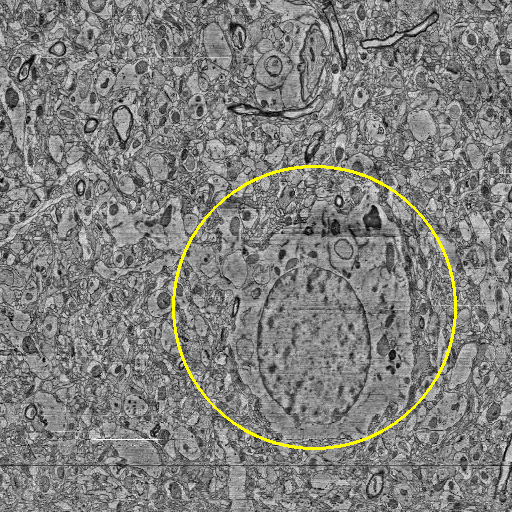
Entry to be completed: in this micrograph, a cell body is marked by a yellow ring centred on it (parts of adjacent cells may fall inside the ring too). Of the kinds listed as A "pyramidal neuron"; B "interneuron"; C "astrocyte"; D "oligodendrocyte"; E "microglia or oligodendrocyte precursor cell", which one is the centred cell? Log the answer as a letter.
C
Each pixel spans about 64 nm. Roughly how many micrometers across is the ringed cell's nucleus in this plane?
The ringed cell's nucleus measures approximately 10 by 7 micrometres in this plane.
